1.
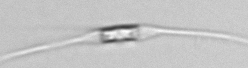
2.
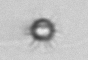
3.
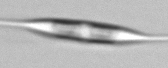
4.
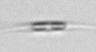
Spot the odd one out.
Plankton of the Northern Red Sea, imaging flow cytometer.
Picture 2 (Rhabdosphaera among Cylindrotheca).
